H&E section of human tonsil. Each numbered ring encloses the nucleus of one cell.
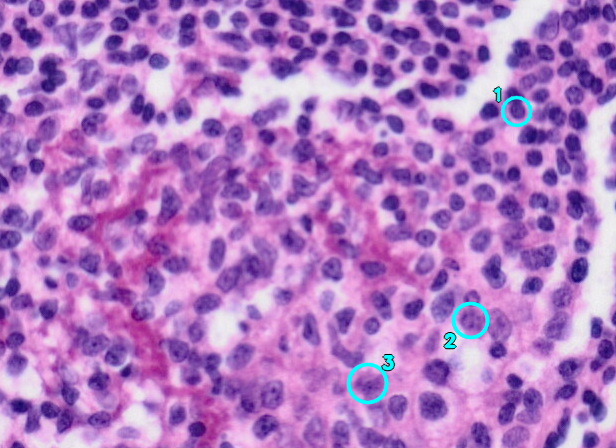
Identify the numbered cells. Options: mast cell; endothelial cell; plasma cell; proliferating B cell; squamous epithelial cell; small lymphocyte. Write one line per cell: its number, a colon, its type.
1: small lymphocyte
2: proliferating B cell
3: proliferating B cell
